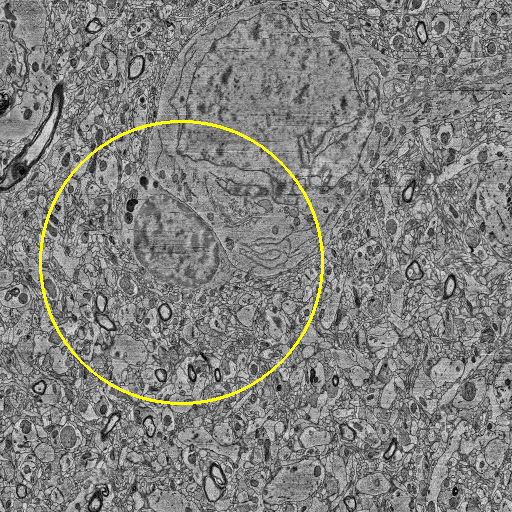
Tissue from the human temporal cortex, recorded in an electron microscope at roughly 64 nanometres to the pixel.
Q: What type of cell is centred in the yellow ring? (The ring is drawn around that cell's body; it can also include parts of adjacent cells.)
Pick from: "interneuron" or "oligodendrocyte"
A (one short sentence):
The yellow ring is centred on an oligodendrocyte.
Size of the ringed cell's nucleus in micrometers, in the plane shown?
About 6 micrometres by about 5 micrometres in this plane.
